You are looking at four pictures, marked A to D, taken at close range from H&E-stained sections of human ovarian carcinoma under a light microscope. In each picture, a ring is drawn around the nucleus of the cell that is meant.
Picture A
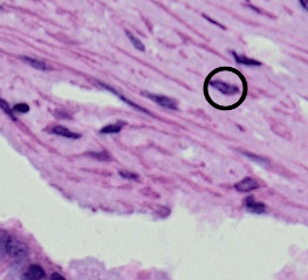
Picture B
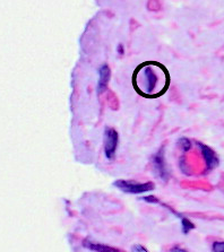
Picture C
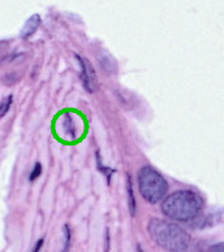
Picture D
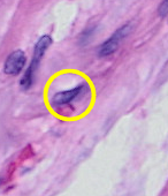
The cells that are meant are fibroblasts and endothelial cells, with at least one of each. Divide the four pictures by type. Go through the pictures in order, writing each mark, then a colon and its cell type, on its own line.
A: fibroblast
B: fibroblast
C: fibroblast
D: endothelial cell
